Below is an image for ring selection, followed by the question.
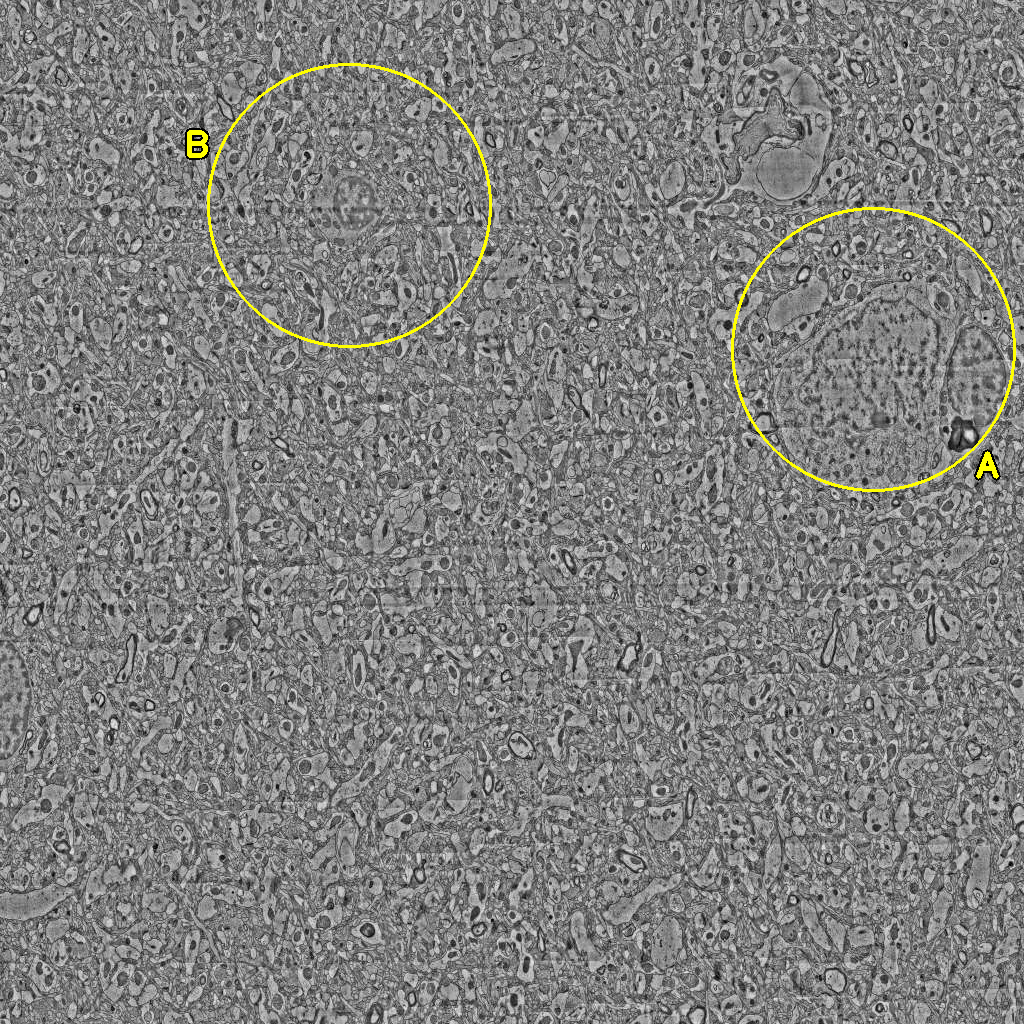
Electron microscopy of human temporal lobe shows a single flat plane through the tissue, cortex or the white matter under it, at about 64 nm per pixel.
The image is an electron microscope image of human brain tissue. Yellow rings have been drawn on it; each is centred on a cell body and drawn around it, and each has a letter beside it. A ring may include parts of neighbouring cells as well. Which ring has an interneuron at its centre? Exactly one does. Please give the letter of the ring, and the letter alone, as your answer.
A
